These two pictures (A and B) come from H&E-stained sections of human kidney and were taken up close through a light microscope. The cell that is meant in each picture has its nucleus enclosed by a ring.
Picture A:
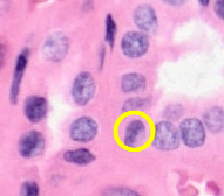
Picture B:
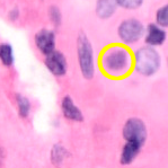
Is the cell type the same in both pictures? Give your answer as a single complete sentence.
Yes; the cells in both pictures are collecting duct cells.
